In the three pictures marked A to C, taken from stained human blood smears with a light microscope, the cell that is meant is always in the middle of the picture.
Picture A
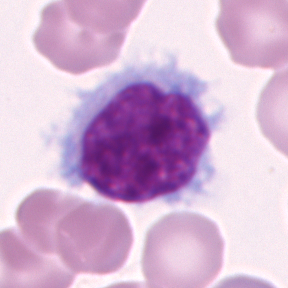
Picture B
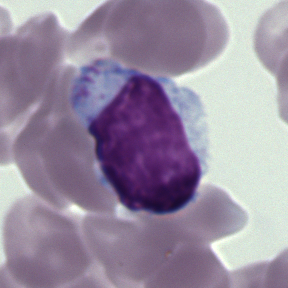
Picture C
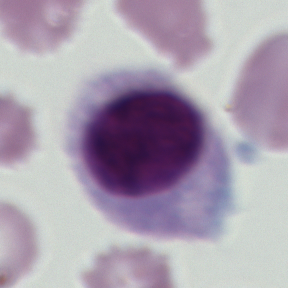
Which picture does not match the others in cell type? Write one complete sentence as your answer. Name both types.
The different one is picture B; it shows a large granular lymphocyte, whereas all the others show hairy cells.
